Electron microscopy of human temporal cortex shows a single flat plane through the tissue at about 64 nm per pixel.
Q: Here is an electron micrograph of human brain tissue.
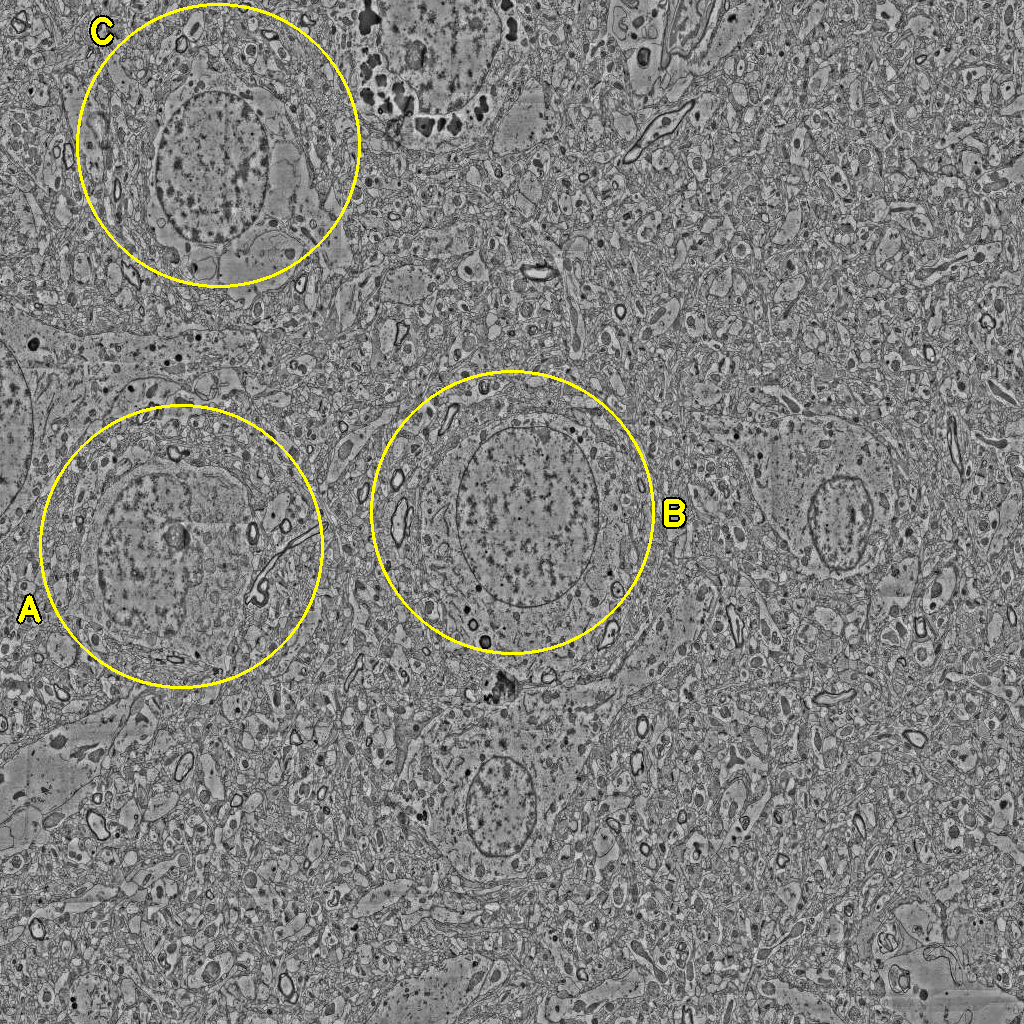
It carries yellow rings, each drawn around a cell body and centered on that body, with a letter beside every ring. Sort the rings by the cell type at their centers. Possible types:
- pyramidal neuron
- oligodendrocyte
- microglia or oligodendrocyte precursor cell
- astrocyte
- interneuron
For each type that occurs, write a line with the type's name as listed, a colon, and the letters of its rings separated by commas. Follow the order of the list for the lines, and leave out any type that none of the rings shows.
pyramidal neuron: B
astrocyte: C
interneuron: A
